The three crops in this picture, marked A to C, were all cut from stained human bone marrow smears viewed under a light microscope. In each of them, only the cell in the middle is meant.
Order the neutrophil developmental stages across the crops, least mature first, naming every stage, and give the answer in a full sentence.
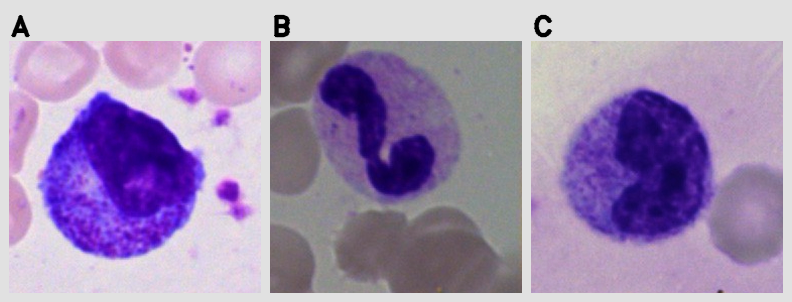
By increasing maturity, the cells should be ordered crop A (a promyelocyte), crop C (a metamyelocyte) and crop B (a segmented neutrophil).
